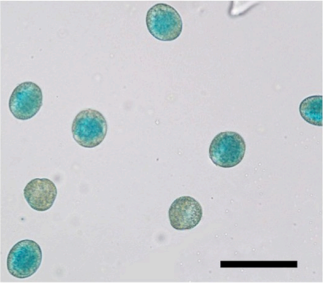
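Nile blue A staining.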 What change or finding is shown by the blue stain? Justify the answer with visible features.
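Lipid accumulation. Several grains hold a deep blue-green stained content. Other grains are only pale greenish.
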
